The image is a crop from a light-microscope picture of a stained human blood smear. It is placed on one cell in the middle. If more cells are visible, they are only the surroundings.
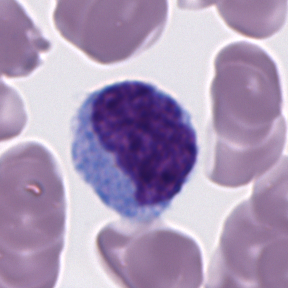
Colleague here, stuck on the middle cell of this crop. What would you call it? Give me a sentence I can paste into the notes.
The cell in the middle of the field of view is a monocyte.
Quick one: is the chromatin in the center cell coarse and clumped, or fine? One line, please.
Just so you know, its chromatin is coarsely clumped.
